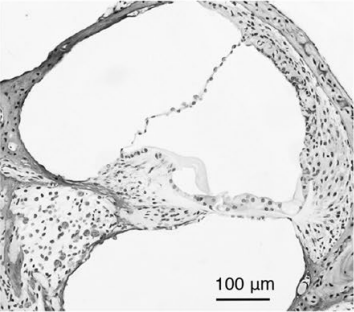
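This cross section of a cochlear turn shows the same three chambers, with a thin, intact Reissner's membrane stretched diagonally across and a cellular stria vascularis lining the lateral wall. The spiral ganglion at the lower left is strikingly sparse: its round nuclei lie scattered with pale space between them instead of being densely packed.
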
